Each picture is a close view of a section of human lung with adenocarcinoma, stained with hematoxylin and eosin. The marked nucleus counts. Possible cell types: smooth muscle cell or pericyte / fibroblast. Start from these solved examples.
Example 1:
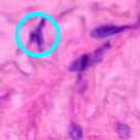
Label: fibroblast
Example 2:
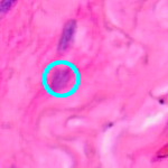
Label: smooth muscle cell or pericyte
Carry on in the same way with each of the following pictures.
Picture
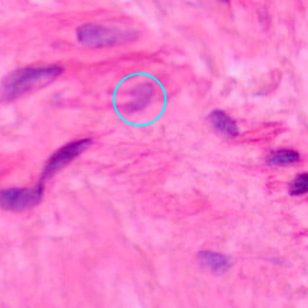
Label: smooth muscle cell or pericyte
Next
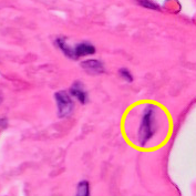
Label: fibroblast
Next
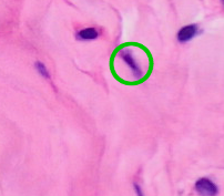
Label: fibroblast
